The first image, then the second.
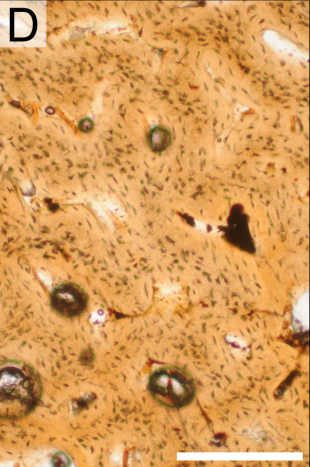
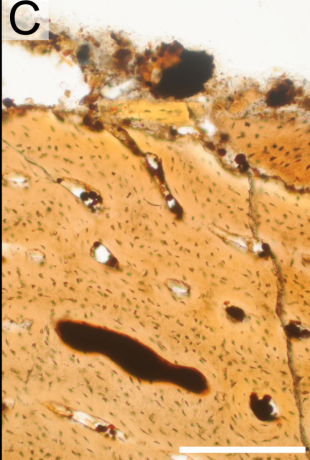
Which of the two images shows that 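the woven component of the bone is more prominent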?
the first image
